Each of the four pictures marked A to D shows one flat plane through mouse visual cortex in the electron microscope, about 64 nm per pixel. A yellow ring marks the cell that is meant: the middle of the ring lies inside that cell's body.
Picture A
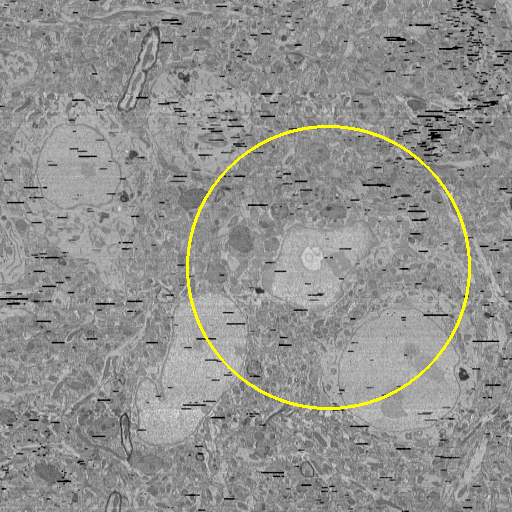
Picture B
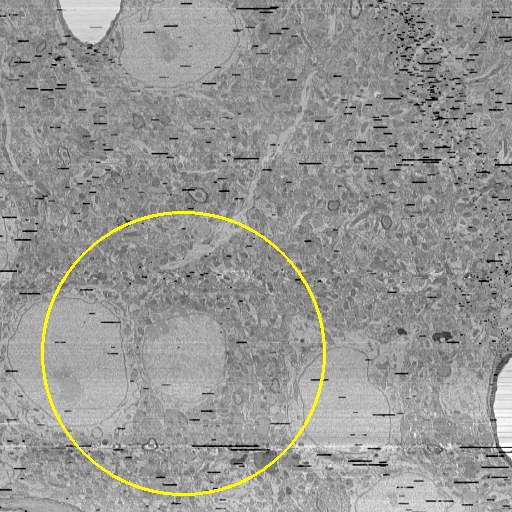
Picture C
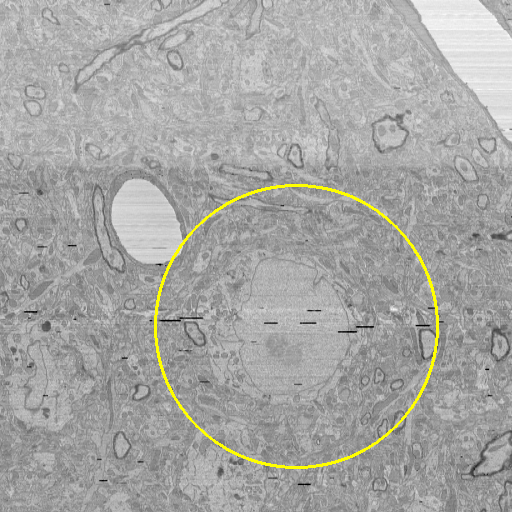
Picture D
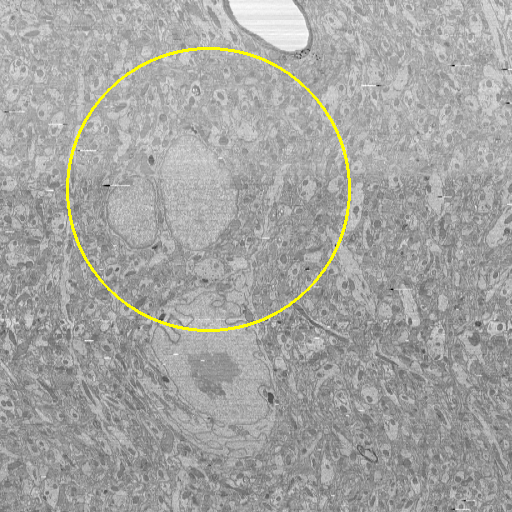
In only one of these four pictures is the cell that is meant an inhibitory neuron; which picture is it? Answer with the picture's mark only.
C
